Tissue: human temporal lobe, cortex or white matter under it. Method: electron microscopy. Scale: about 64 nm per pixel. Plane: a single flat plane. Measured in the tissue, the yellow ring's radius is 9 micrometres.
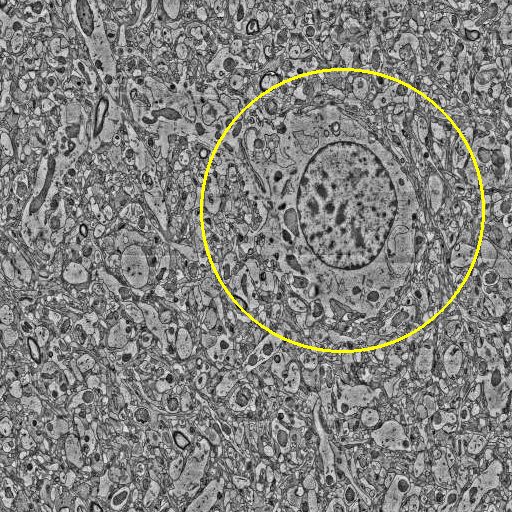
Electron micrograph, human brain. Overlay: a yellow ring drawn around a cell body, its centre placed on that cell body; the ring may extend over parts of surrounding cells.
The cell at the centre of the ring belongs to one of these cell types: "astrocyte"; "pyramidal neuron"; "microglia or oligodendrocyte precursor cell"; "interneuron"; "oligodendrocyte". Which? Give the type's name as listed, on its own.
astrocyte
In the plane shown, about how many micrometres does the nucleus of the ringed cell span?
The nucleus has a long axis of about 8 micrometres and a short axis of about 6 micrometres in this plane.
